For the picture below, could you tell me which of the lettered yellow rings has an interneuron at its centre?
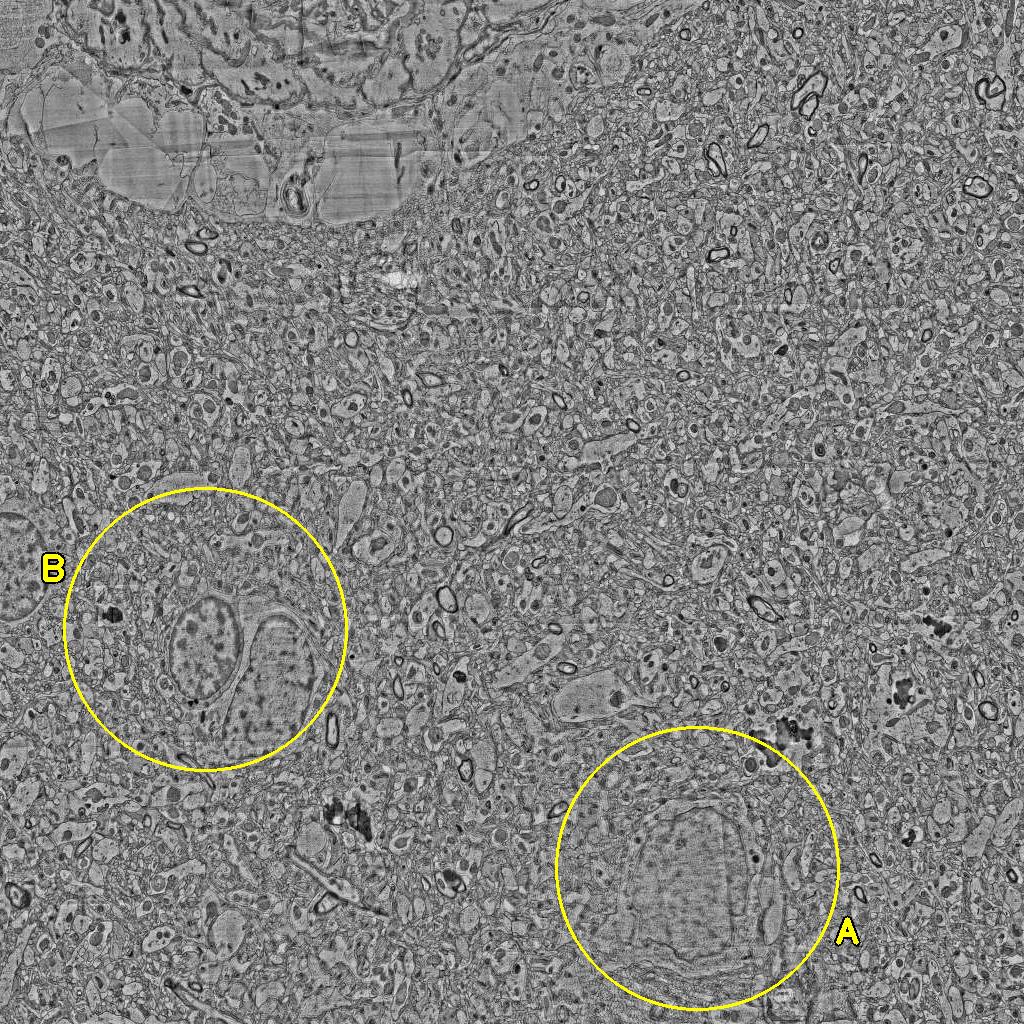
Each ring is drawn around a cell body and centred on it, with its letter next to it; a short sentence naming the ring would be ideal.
Ring A is centred on it.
